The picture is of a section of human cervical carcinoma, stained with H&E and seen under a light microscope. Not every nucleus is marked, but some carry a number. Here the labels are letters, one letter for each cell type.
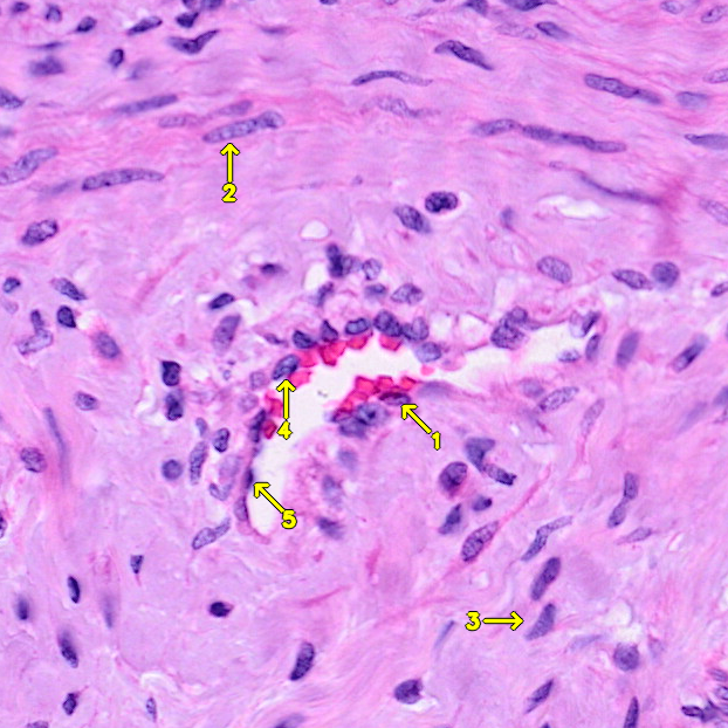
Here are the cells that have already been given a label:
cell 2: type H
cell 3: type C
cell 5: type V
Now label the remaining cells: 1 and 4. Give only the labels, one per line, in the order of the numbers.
type V
type V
